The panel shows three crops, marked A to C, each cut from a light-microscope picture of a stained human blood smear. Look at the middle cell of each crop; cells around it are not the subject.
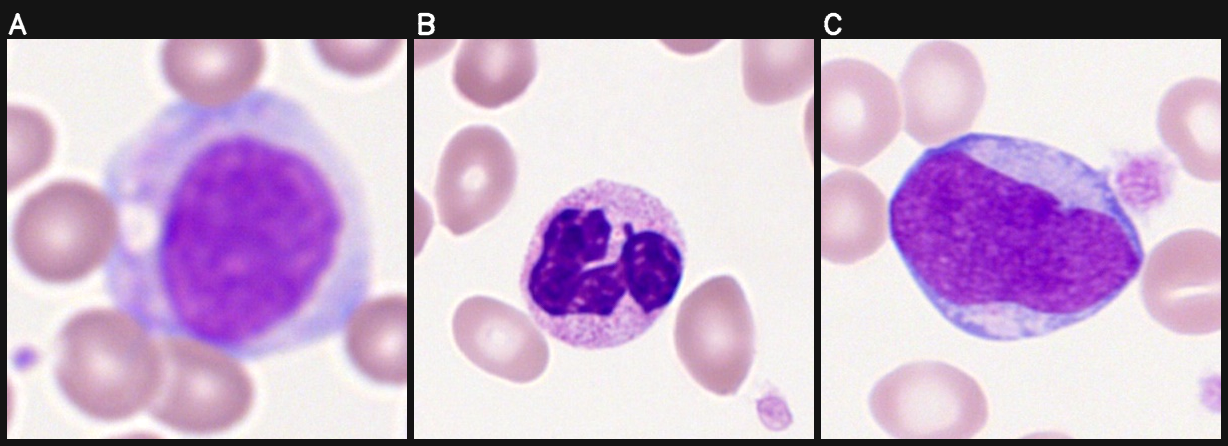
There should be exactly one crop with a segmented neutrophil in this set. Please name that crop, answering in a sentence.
Crop B is the one to choose: it shows a segmented neutrophil.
